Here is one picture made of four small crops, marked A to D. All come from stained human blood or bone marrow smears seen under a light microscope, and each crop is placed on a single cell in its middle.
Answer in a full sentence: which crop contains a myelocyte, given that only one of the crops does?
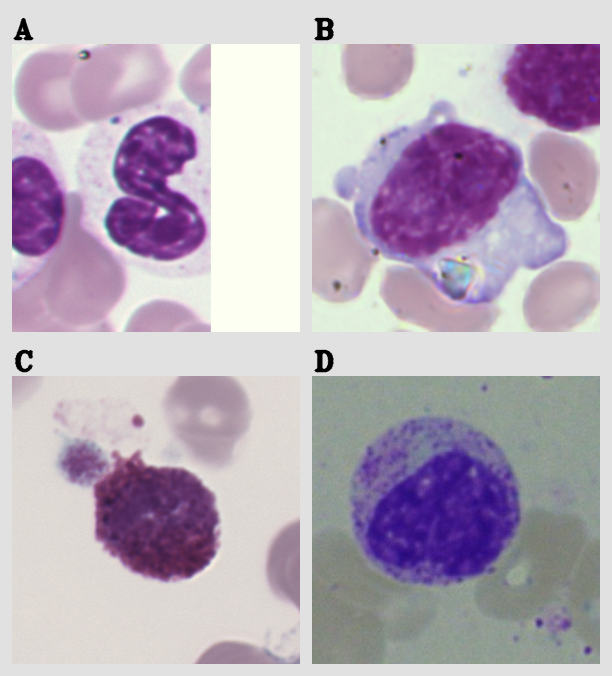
Crop D is the one that shows a myelocyte.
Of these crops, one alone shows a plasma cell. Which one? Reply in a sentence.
In this series, a plasma cell is shown by crop B.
